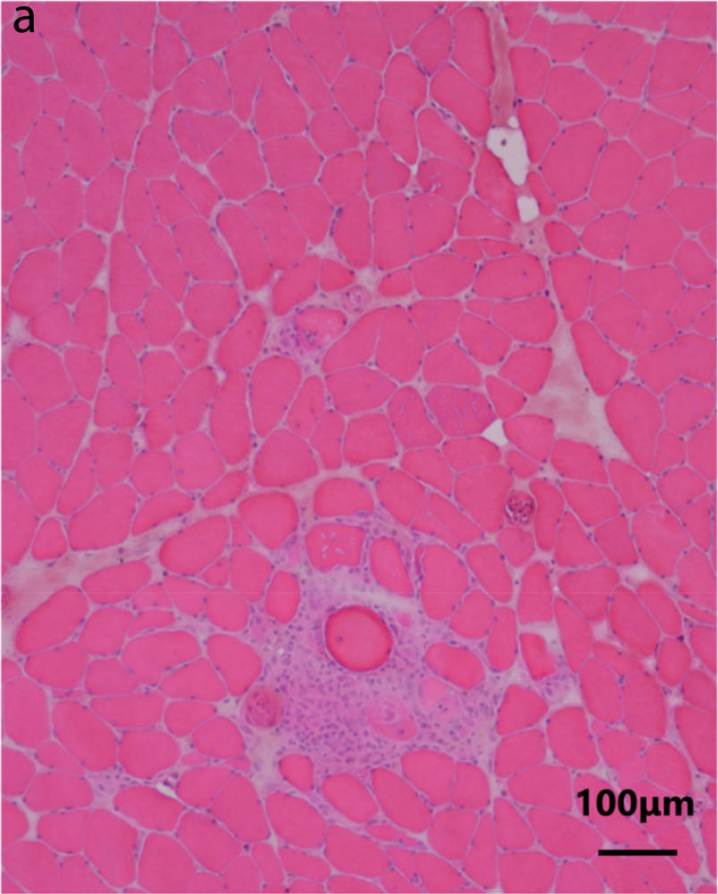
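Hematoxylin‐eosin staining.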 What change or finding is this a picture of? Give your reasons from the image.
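Infiltration of mononuclear cells into the endomysium. A dense cluster of small dark nuclei lies between muscle fibers in the lower center. The clustered small cells fill the spaces between fibers.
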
